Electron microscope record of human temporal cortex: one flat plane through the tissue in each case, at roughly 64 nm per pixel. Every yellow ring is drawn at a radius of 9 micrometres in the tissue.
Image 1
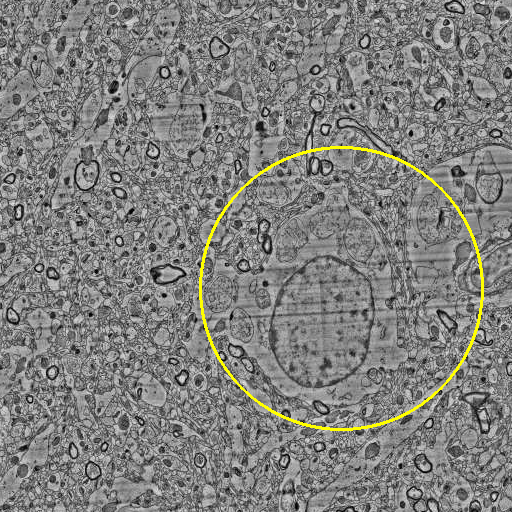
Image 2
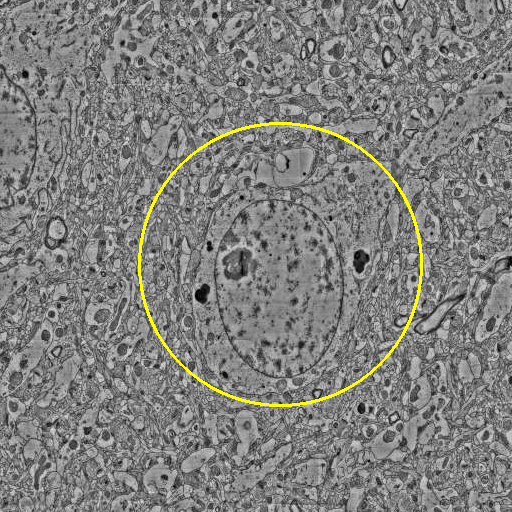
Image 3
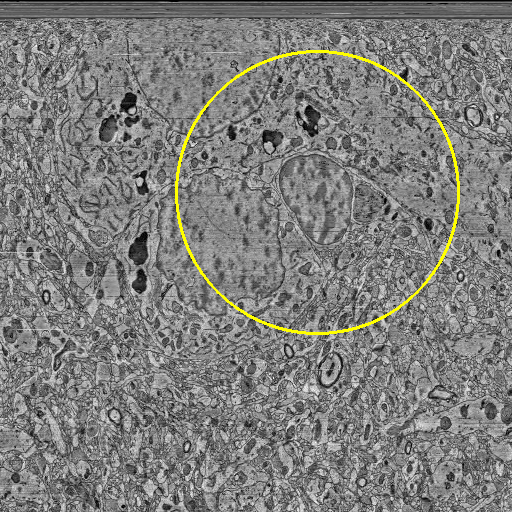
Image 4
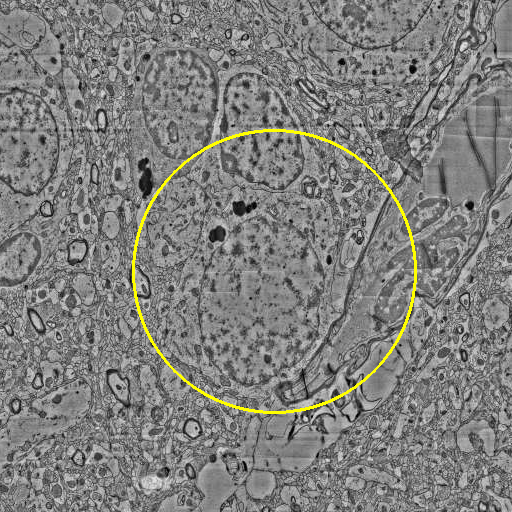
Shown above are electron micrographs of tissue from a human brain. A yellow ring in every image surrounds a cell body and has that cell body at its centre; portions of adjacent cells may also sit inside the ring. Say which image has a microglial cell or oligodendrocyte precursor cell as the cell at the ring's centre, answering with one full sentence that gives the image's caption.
The image whose ring is centred on the requested cell is Image 3.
